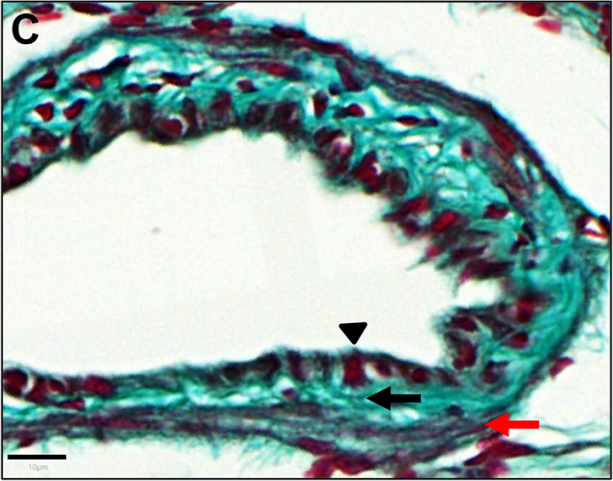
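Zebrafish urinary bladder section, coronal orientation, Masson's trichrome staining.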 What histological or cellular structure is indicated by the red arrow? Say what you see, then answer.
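Thin muscle fibres. The arrow points at thin dark elongated fibres at the outer edge of the wall. They lie outside the green fibrous layer.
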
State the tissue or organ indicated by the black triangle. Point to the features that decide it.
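Epithelial layer. The triangle points at a single row of cells with red nuclei lining the lumen.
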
